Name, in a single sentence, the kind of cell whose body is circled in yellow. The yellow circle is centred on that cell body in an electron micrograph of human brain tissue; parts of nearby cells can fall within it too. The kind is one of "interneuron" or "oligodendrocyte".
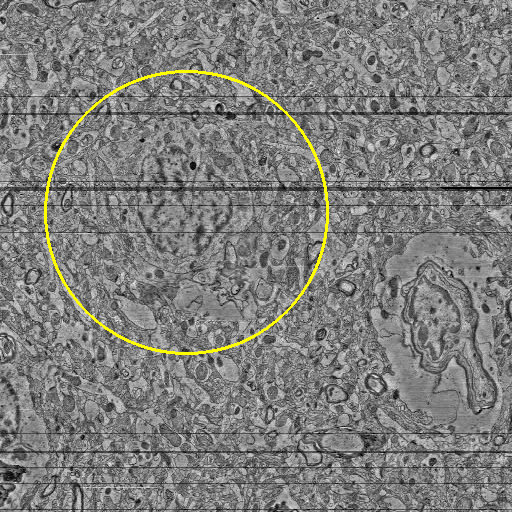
The circled cell body belongs to an interneuron.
